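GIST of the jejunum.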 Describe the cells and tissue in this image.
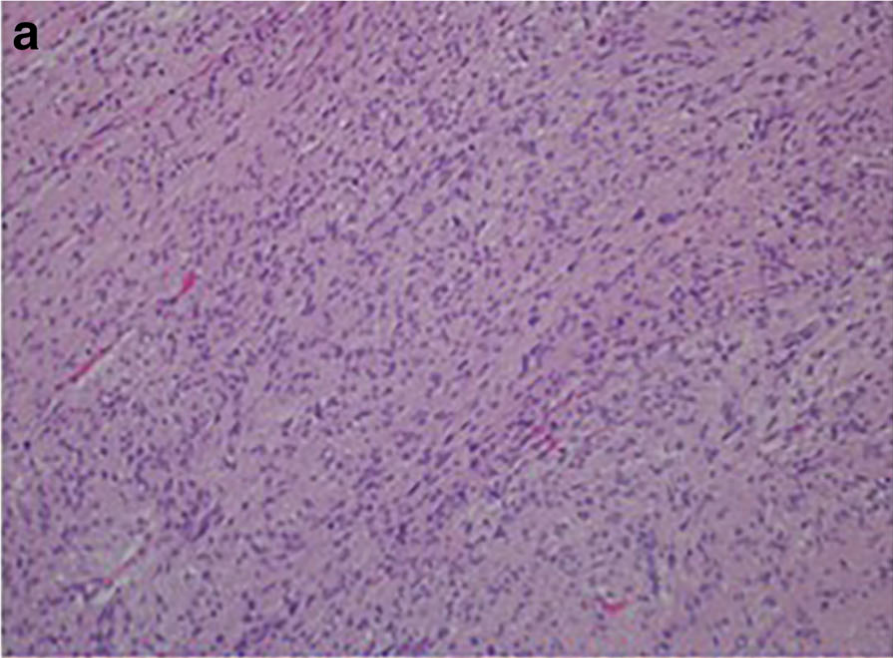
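A densely cellular tumor is made of spindle-shaped cells arranged in sweeping fascicles that run in different directions. The cells have elongated, fairly uniform purple nuclei and pale pink, ill-defined cytoplasm. A few thin vessels containing red cells run between the fascicles.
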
